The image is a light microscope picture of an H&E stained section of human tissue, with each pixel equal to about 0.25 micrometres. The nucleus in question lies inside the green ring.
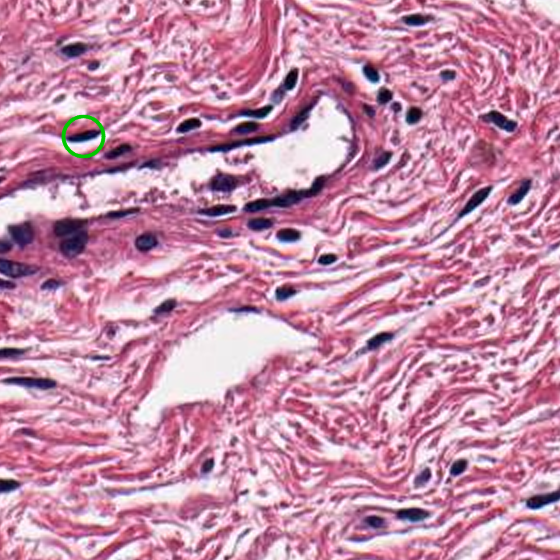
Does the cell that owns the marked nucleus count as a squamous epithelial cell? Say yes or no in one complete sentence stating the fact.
No, not a squamous epithelial cell but a supporting cell is the owner of the marked nucleus.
